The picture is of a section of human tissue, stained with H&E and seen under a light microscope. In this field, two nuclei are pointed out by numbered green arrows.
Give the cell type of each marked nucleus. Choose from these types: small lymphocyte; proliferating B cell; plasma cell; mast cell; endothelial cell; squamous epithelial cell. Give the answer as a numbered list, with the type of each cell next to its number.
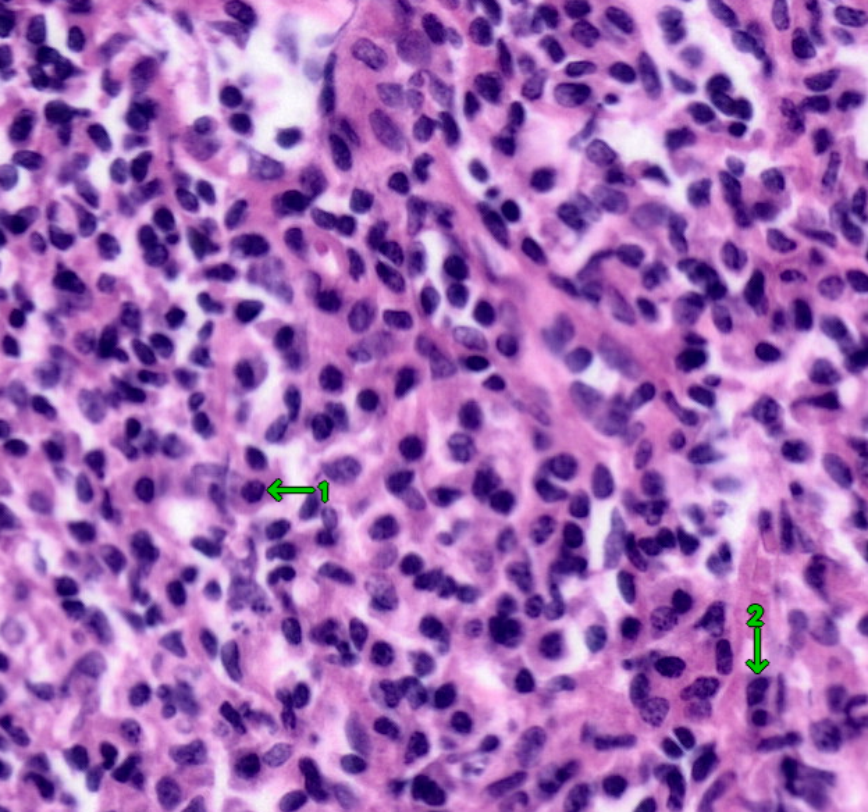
1. plasma cell
2. endothelial cell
